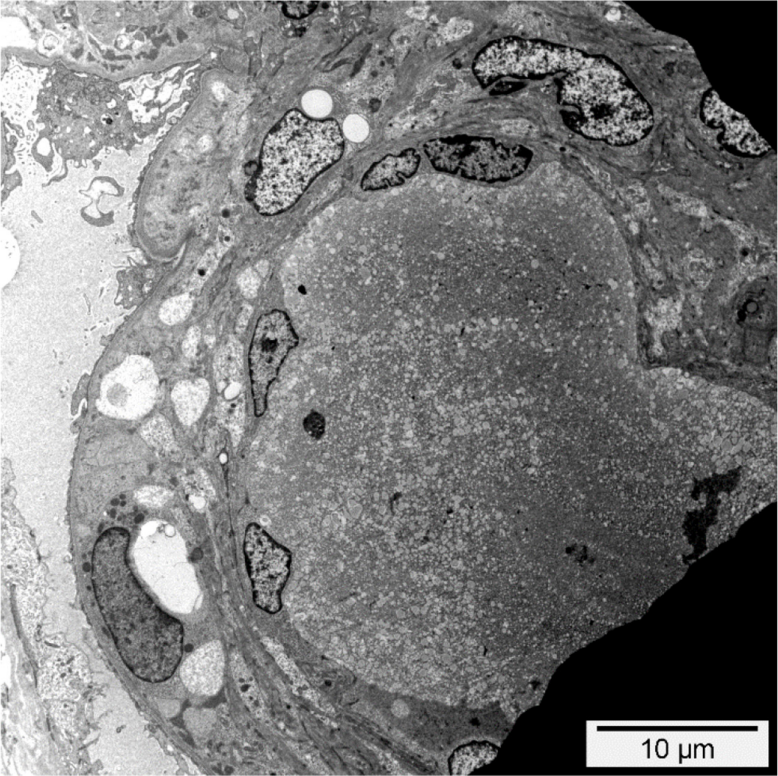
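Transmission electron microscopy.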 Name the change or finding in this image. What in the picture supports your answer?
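A large rounded lumen is filled with finely granular material of medium density. The material contains many small pale round droplets. No cells lie within the filled lumen. So: lipoprotein thrombus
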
